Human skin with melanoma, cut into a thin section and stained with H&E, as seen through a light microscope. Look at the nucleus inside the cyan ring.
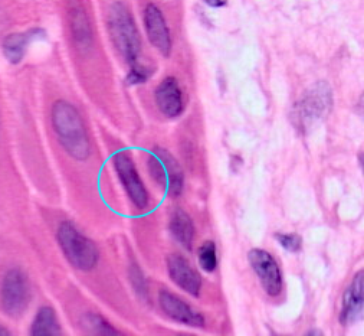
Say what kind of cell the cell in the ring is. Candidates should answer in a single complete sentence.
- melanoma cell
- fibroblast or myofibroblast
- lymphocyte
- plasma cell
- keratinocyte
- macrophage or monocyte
The correct response here is that the cell in the ring is a keratinocyte.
